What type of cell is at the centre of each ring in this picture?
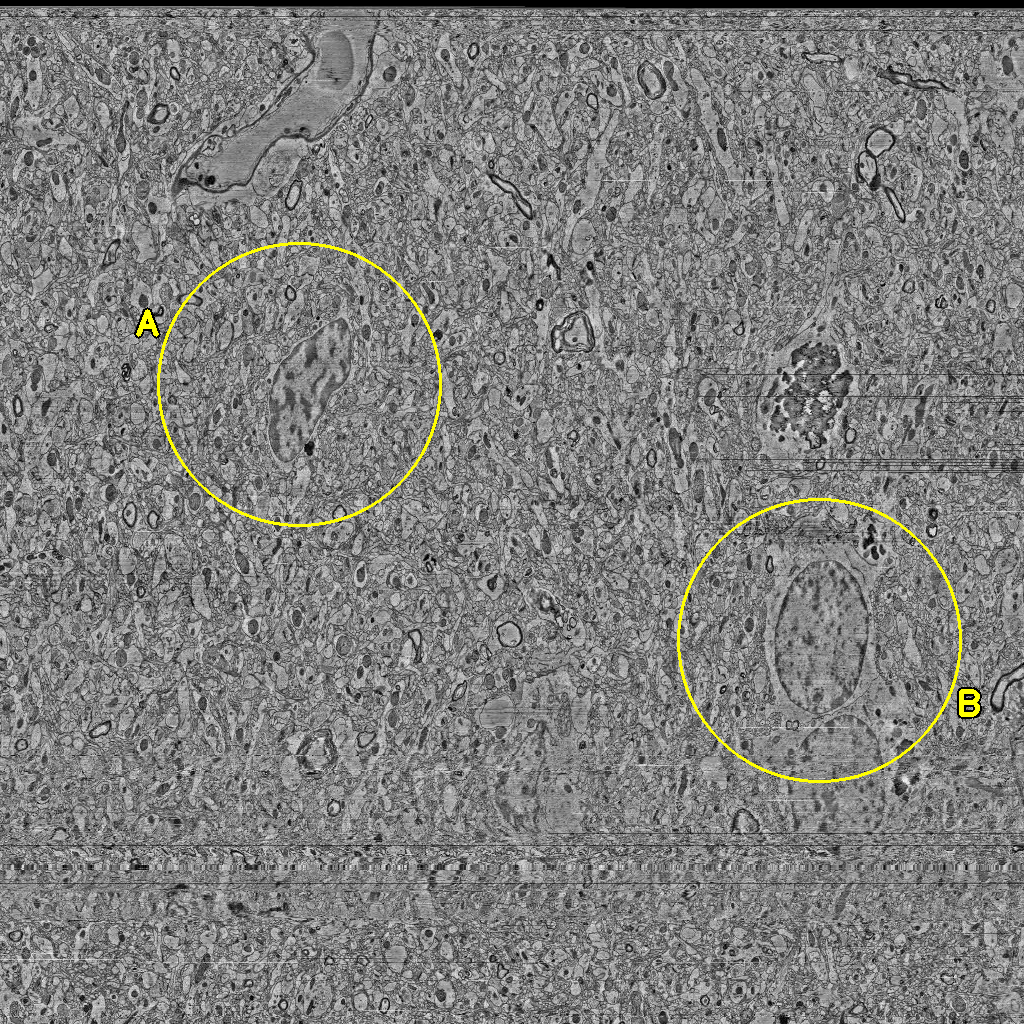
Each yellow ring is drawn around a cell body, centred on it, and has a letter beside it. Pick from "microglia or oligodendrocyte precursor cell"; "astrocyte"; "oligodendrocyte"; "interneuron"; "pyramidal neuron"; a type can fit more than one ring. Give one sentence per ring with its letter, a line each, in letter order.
The ring marked A is centred on a microglial cell or oligodendrocyte precursor cell.
The ring marked B is centred on an astrocyte.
